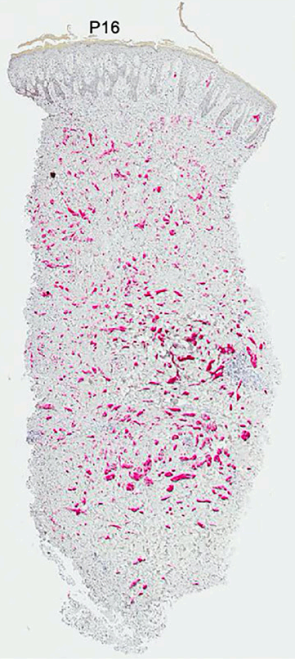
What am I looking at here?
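The same kind of narrow skin biopsy is seen with a pale blue counterstain. The thickened epidermis with its long rete ridges at the top is almost entirely unstained. In the dermis, many cells are stained bright red; they are scattered singly or in small groups between collagen fibres, elongated, spindled or plump, and distributed fairly evenly throughout the depth of the dermis, densest in the middle.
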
